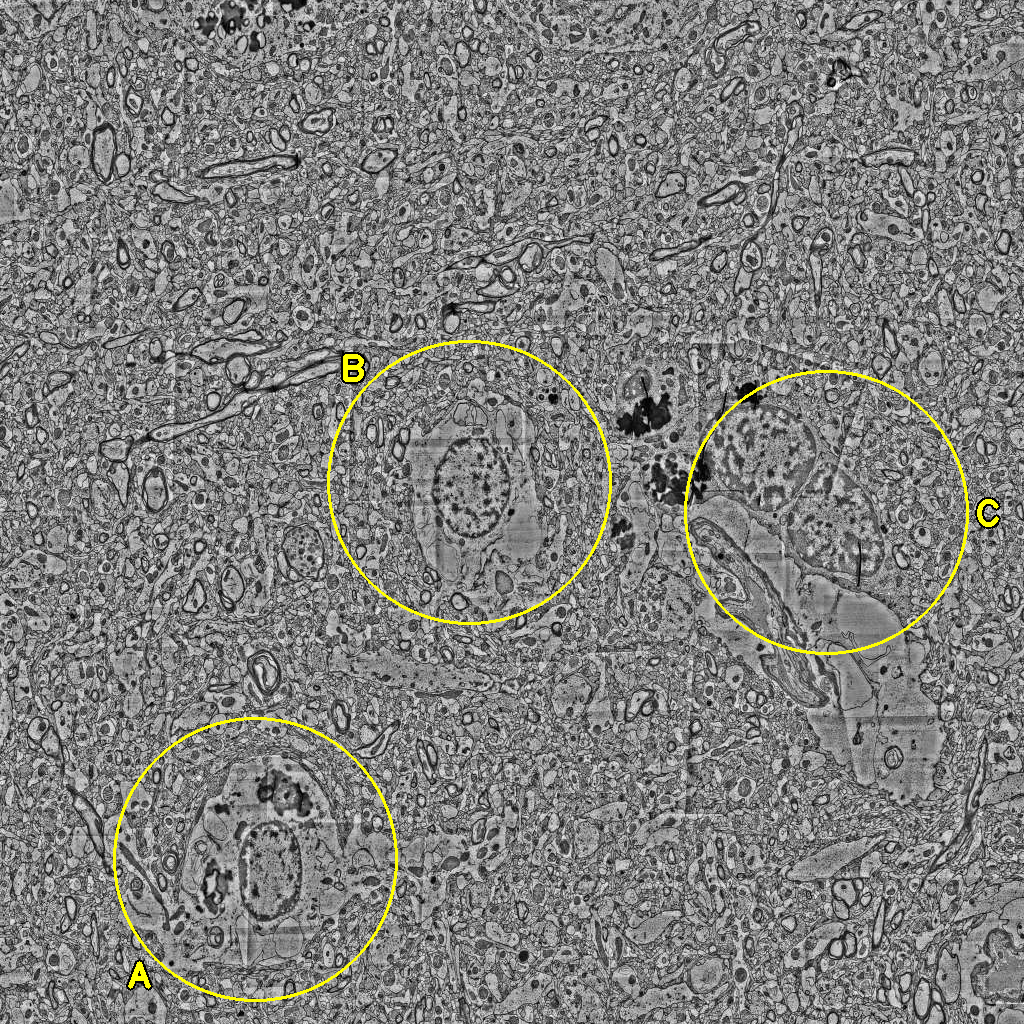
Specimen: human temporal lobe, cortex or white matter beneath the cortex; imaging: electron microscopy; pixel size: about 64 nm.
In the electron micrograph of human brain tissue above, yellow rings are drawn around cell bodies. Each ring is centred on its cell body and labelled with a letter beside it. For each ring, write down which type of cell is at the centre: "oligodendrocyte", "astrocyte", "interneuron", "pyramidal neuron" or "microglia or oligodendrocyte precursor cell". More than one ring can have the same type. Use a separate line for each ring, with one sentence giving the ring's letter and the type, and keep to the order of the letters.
At the centre of ring A there is an astrocyte.
At the centre of ring B there is an astrocyte.
At the centre of ring C there is an oligodendrocyte.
